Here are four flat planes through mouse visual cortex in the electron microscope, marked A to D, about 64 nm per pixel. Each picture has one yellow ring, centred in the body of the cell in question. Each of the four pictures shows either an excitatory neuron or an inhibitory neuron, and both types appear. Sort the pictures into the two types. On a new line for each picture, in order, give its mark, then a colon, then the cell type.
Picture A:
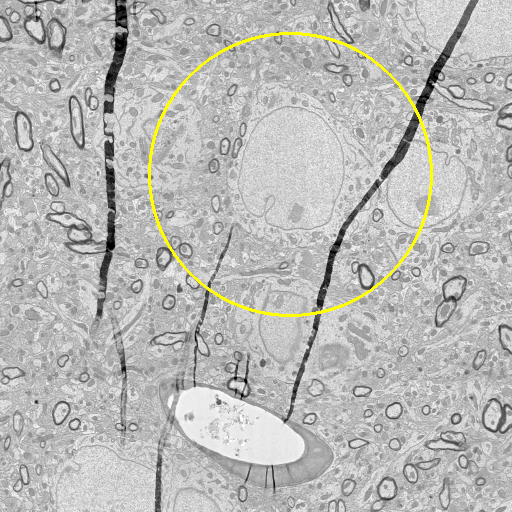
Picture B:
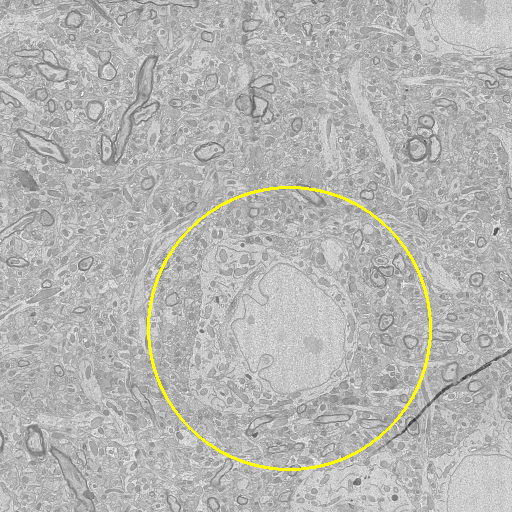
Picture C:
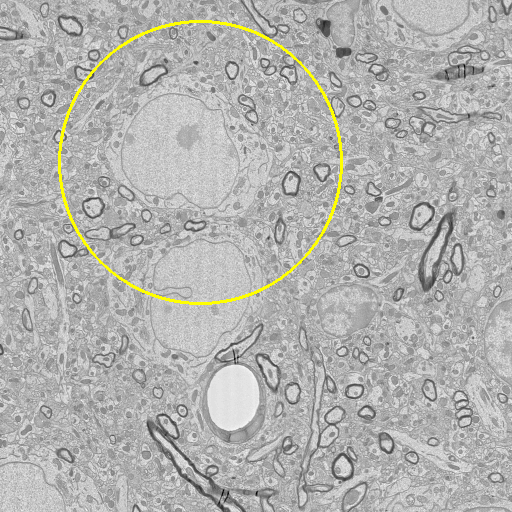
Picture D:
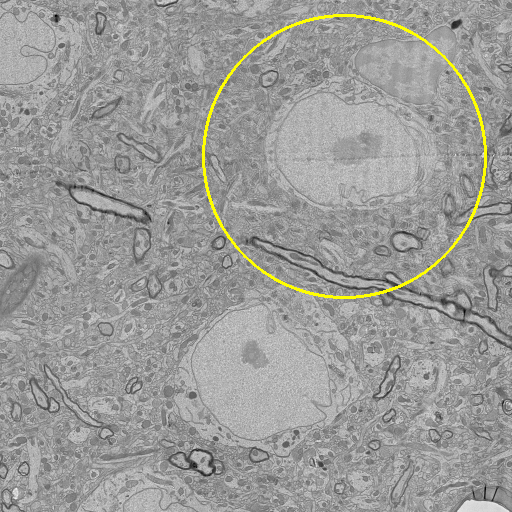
A: excitatory neuron
B: inhibitory neuron
C: excitatory neuron
D: inhibitory neuron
